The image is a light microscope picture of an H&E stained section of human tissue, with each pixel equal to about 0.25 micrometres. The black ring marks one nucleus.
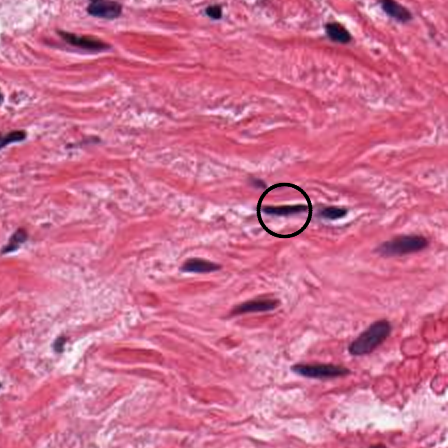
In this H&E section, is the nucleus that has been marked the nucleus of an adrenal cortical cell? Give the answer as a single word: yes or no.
no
